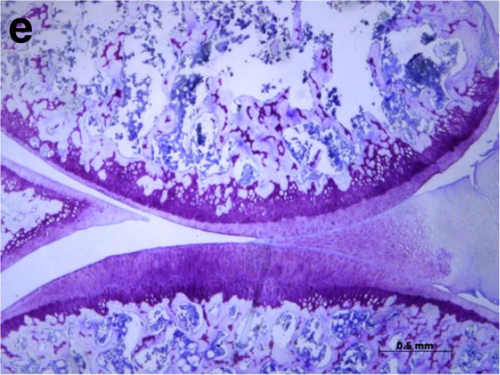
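A knee joint in section shows two bone ends, each covered by a broad band of articular cartilage stained strongly purple. The cartilage surfaces are smooth and continuous, and they face each other across a thin joint space. At the side of the joint, a pale, fibrous wedge of tissue projects into the space between the bone ends. Under the cartilage, trabecular bone forms a network of struts around marrow spaces containing blue-stained cellular material.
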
